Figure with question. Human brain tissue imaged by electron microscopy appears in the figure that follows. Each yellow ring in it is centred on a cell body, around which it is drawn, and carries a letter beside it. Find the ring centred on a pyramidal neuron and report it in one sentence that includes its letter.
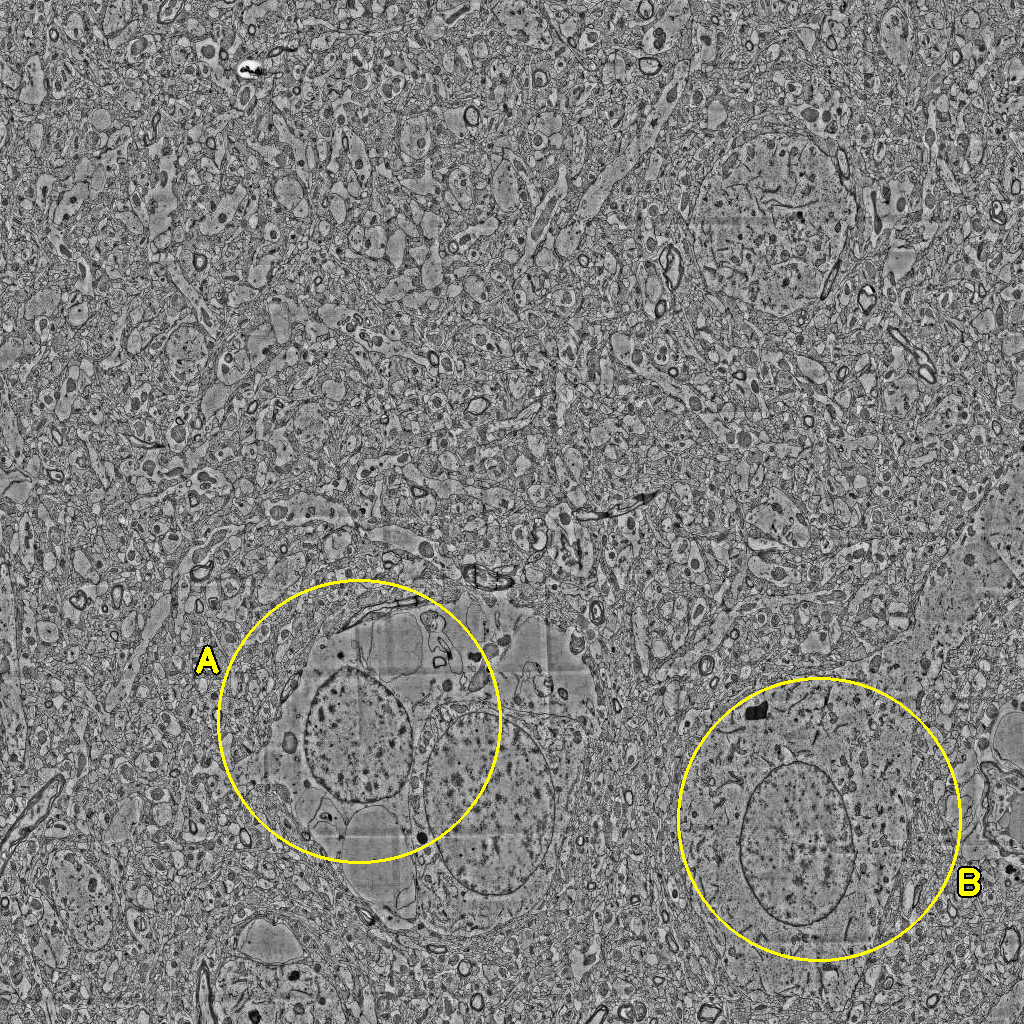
Ring B is the one centred on it.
